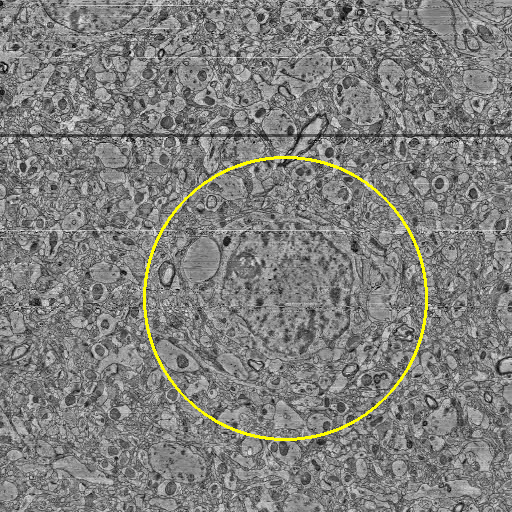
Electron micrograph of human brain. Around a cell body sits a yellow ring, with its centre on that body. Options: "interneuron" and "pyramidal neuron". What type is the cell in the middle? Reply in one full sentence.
The cell sitting at the centre of the yellow ring is an interneuron.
